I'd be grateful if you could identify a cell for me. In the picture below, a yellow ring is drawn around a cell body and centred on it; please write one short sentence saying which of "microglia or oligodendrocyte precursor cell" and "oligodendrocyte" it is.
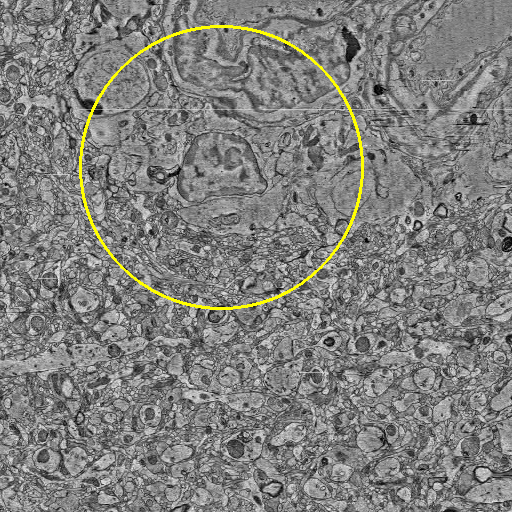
The cell under the ring's centre is a microglial cell or oligodendrocyte precursor cell.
